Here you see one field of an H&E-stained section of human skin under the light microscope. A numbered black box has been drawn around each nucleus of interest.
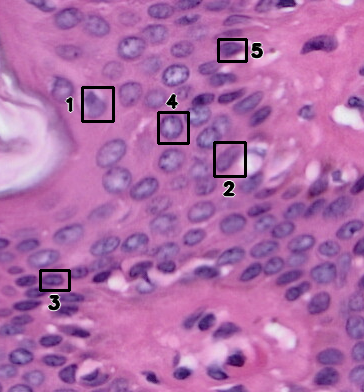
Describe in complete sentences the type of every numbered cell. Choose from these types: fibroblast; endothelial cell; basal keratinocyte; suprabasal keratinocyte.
Cell 1 is a suprabasal keratinocyte, cell 2 is a basal keratinocyte, cell 3 is a basal keratinocyte, cell 4 is a suprabasal keratinocyte and cell 5 is a basal keratinocyte.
